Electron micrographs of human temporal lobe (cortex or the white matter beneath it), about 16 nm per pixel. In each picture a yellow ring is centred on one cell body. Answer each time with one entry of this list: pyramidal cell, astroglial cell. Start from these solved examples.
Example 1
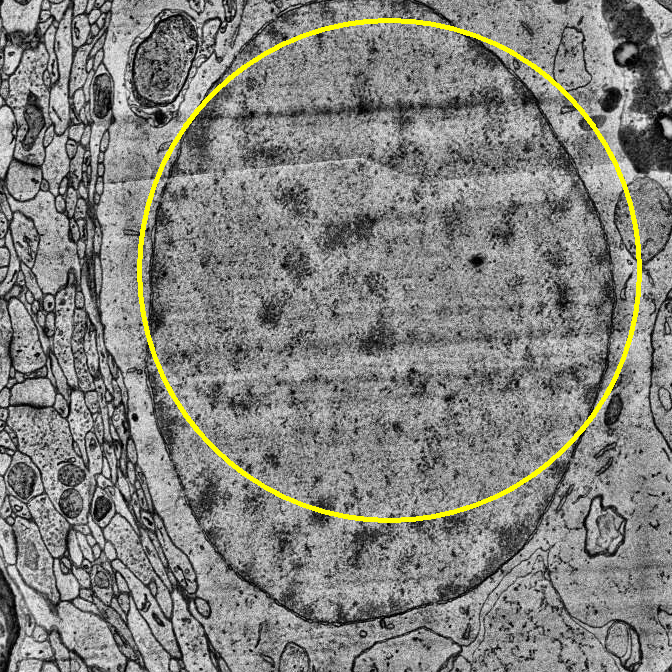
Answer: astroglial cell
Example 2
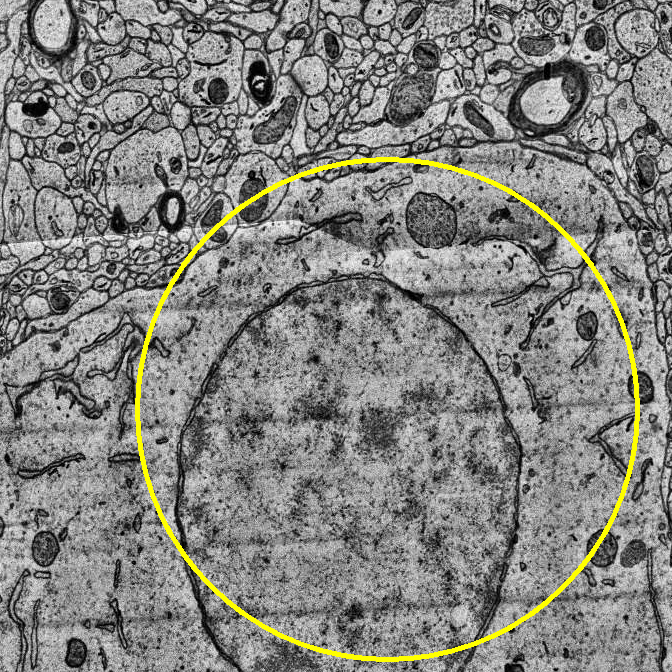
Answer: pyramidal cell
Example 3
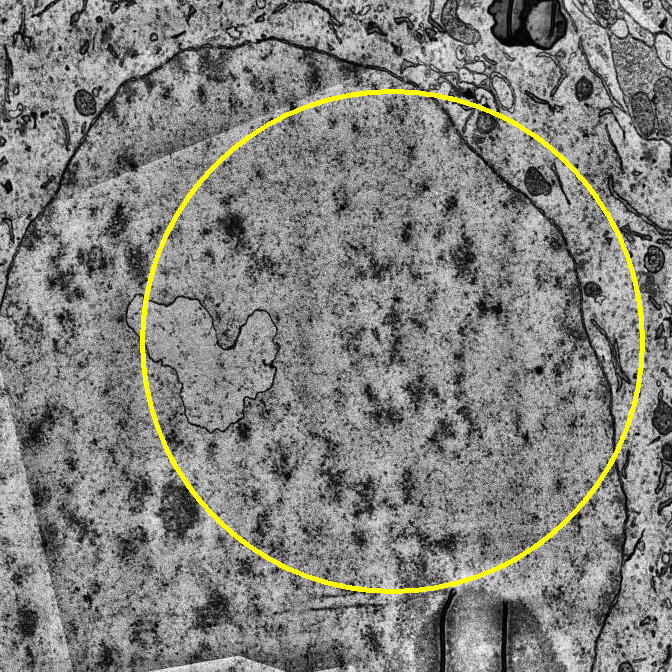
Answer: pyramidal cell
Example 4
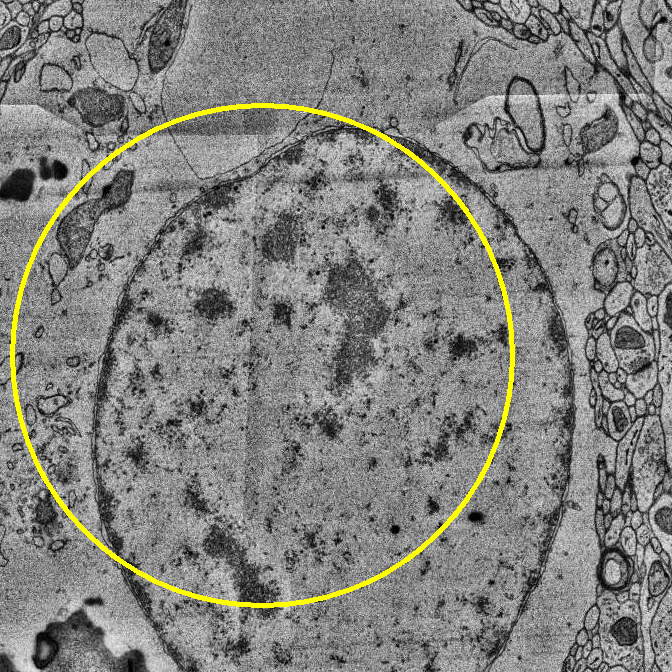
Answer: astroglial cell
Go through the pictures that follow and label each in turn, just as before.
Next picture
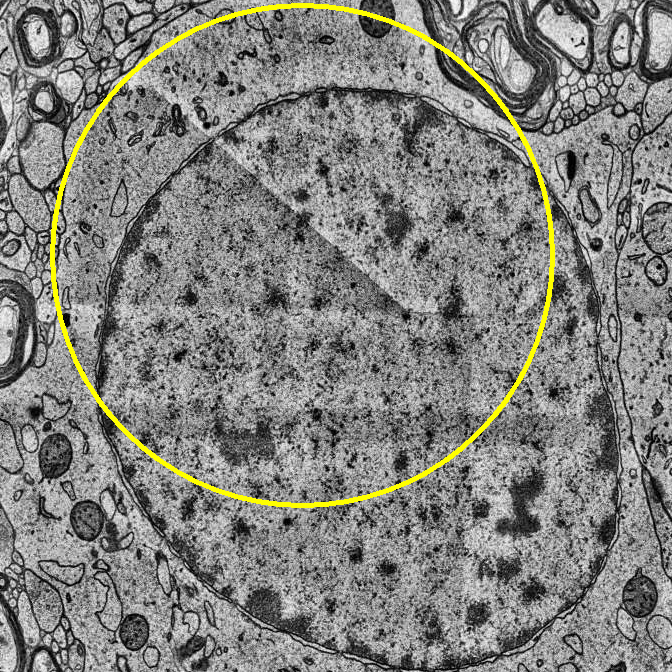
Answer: astroglial cell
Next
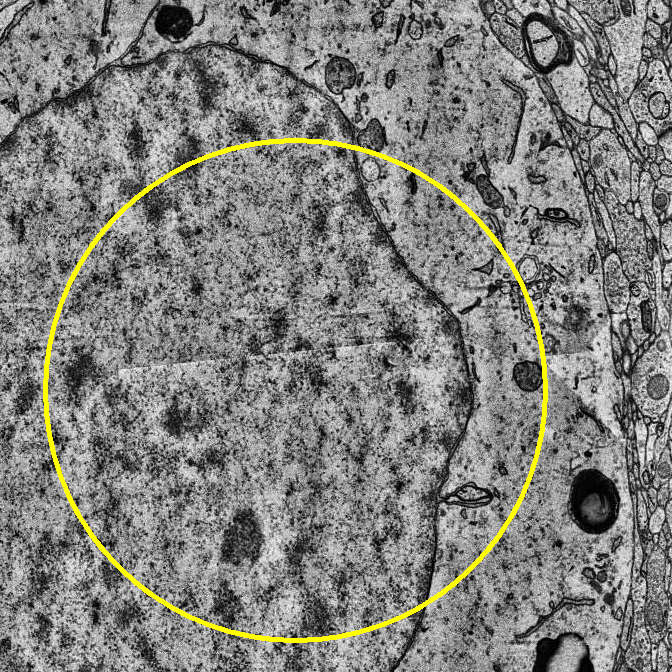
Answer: pyramidal cell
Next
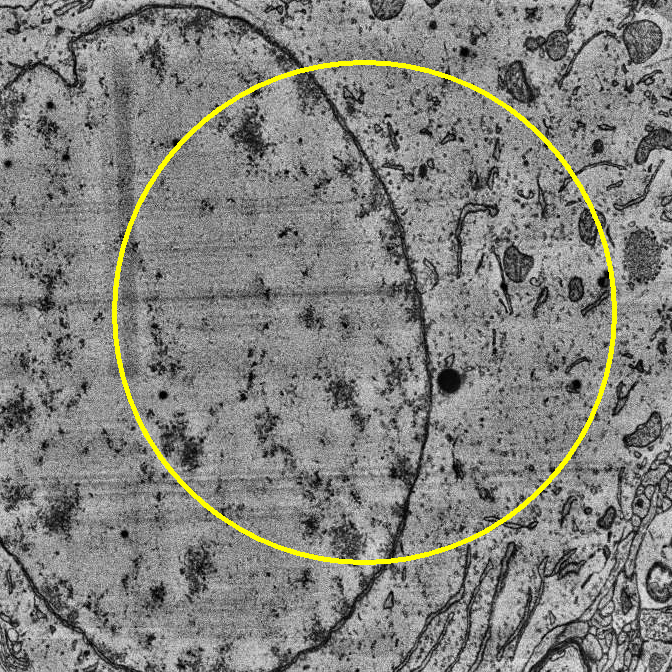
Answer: pyramidal cell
